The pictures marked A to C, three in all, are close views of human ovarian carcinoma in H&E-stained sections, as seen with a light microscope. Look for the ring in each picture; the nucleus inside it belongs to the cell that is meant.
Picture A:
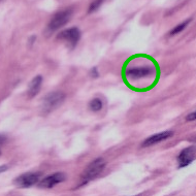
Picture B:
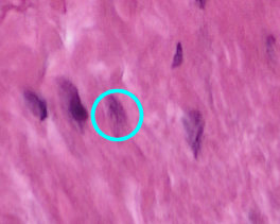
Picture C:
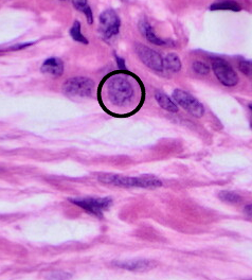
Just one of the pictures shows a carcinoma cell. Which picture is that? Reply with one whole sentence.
The picture with the carcinoma cell is C.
